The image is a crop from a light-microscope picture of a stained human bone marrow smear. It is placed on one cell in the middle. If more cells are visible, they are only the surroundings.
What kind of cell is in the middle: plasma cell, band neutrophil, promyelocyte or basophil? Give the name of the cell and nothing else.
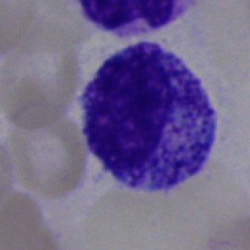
promyelocyte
